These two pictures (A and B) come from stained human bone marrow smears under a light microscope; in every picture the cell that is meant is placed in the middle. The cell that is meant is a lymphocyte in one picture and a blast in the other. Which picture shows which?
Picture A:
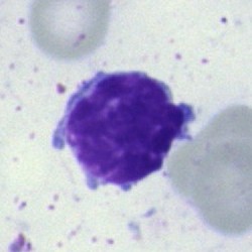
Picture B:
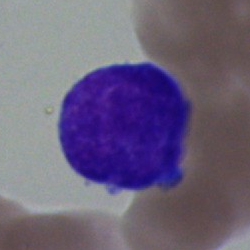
A: lymphocyte
B: blast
